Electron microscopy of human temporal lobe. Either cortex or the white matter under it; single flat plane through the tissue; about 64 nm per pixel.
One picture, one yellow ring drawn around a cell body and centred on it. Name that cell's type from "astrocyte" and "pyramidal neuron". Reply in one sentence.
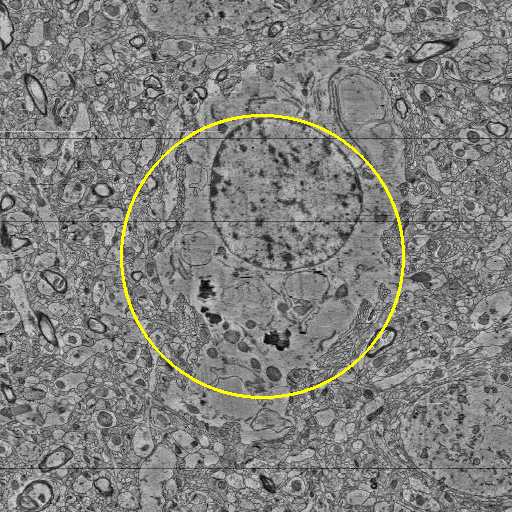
Centred in the ring is an astrocyte.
